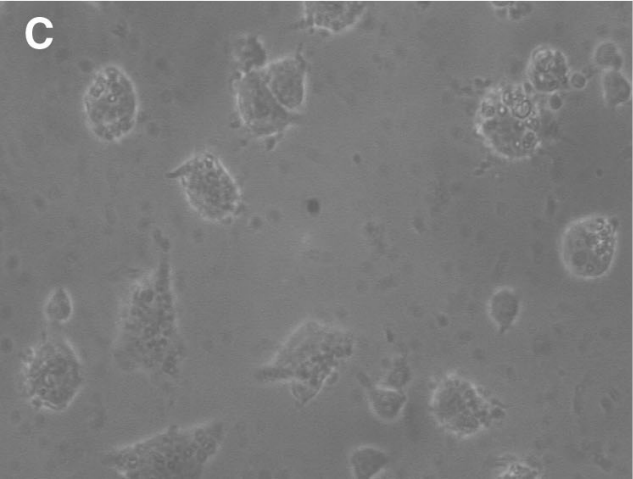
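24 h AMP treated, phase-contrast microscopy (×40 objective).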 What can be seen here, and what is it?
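The cells vary from rounded to flattened and irregular, some spread with angular edges and short processes. Their cytoplasm holds numerous small round vacuoles and granules, which stand out clearly in the more rounded cells.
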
